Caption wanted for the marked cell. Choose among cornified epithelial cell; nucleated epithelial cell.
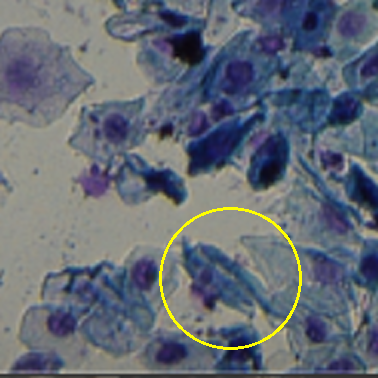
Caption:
Ringed in yellow is a cornified epithelial cell.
